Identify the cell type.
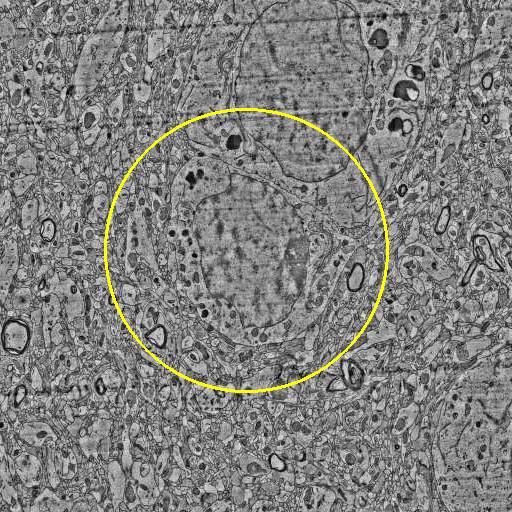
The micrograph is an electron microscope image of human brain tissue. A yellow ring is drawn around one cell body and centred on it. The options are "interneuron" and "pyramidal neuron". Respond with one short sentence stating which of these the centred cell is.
The cell body in the ring belongs to an interneuron.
